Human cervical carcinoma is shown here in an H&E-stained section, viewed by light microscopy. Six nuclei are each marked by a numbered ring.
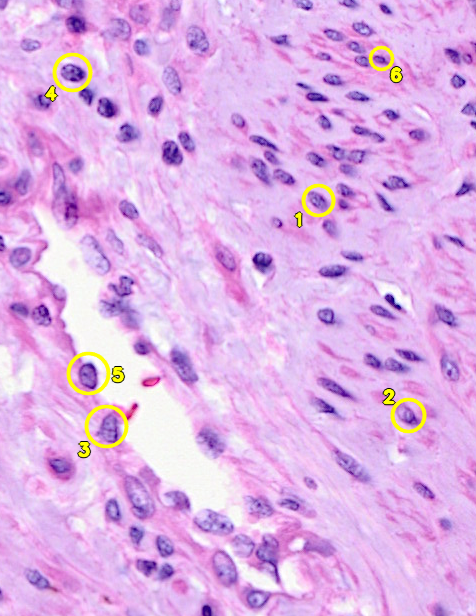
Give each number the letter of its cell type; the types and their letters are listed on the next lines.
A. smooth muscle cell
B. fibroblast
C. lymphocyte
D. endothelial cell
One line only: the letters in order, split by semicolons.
A; A; D; C; D; A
